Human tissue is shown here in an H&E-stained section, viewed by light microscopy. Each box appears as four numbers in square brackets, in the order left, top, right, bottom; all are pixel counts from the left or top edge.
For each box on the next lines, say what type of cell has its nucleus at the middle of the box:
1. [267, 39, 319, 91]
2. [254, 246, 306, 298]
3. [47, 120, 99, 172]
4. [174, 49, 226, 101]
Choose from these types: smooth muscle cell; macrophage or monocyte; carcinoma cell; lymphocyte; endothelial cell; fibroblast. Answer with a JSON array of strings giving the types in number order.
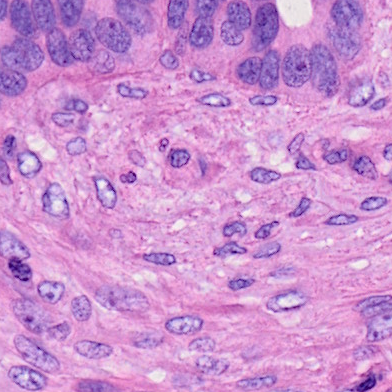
["carcinoma cell", "fibroblast", "fibroblast", "fibroblast"]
